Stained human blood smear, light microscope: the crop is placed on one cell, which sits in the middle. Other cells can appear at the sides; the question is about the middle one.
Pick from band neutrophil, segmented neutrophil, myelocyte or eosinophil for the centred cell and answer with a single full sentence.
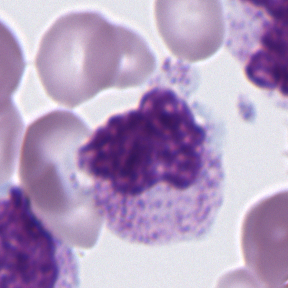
In the middle of this smear crop, the cell is a segmented neutrophil.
